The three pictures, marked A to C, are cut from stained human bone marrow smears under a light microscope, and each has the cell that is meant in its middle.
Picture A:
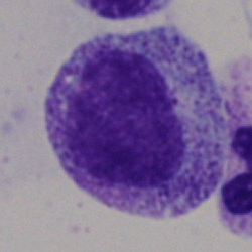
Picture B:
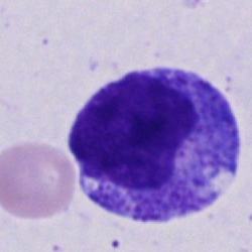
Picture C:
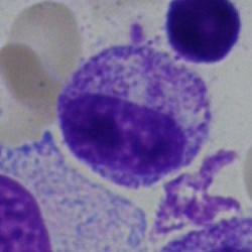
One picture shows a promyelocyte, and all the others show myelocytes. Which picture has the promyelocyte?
B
